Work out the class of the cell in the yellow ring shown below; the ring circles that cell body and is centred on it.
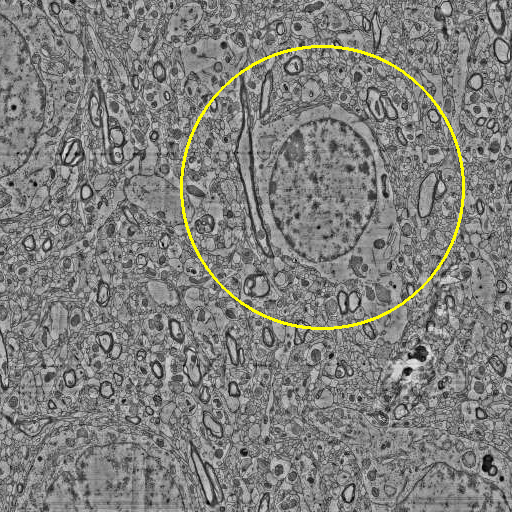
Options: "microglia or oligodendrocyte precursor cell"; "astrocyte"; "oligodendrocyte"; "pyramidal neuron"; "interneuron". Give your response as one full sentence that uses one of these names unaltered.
The body ringed in yellow, right at the ring's centre, is that of an astrocyte.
